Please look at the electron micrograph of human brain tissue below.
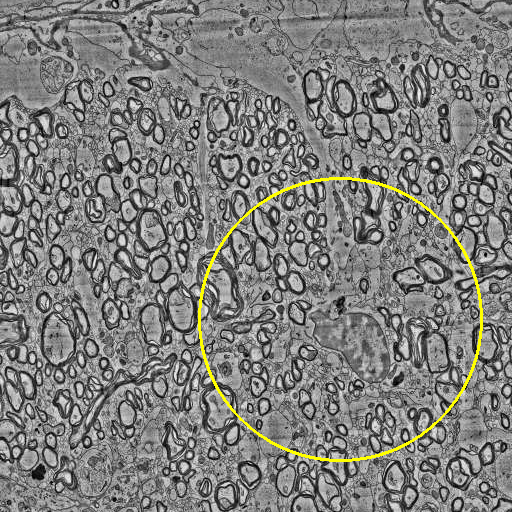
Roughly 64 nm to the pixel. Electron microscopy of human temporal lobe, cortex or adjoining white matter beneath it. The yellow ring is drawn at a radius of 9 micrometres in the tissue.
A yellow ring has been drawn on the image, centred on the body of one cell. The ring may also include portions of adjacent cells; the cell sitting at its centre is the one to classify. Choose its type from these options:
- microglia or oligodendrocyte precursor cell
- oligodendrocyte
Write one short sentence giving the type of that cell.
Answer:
The cell in the middle of the ring is a microglial cell or oligodendrocyte precursor cell.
